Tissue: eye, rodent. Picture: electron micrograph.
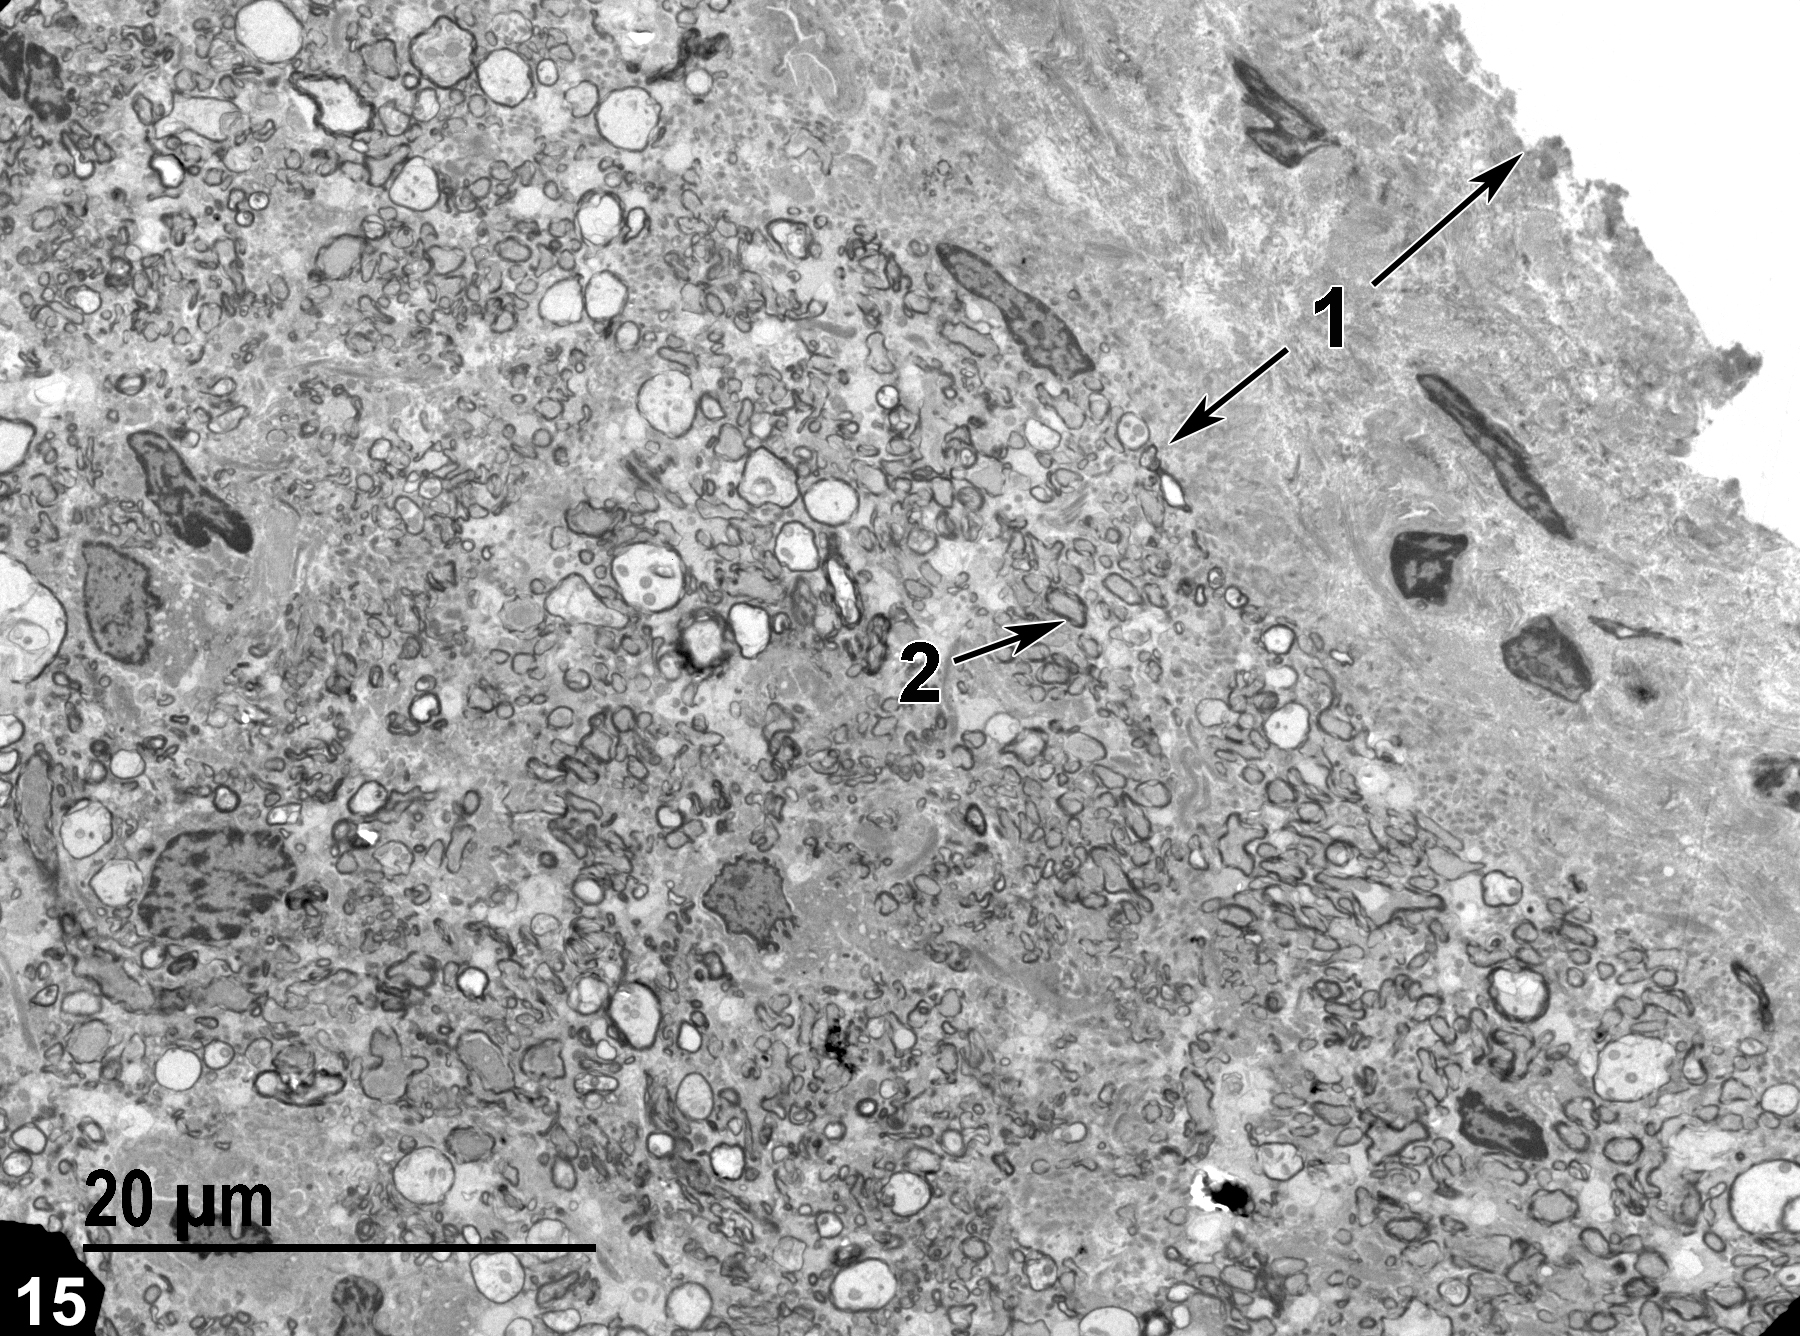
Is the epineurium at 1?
Yes.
